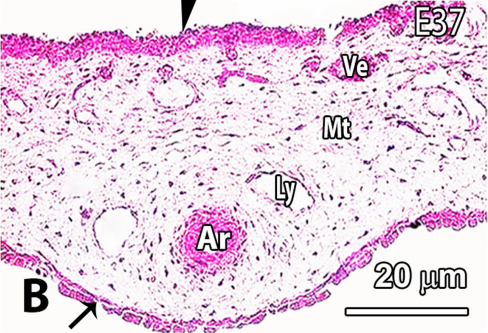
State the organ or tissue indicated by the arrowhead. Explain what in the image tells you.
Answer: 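A thick, densely stained pink epithelial layer forms the upper surface. It is thicker than the thin layer on the opposite surface.
Answer: chorion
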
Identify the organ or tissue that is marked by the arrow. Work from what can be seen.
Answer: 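A thin epithelial layer bounds the lower surface of the membrane. So: allantois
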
